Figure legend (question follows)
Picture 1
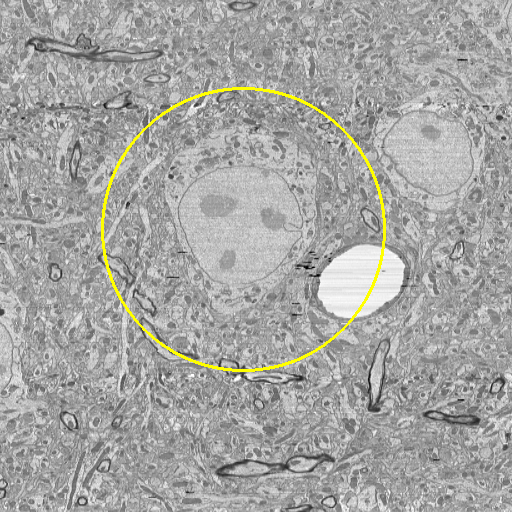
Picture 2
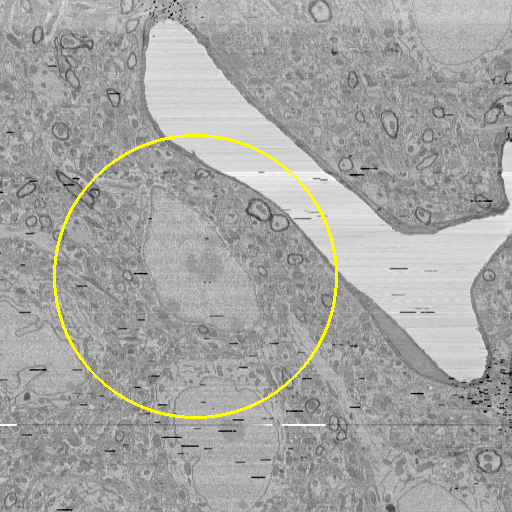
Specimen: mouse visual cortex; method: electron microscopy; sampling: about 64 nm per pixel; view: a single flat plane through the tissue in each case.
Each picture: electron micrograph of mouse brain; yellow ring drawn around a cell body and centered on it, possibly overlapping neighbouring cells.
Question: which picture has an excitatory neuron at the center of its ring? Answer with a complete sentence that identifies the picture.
Picture 1 has it at the center of its ring.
